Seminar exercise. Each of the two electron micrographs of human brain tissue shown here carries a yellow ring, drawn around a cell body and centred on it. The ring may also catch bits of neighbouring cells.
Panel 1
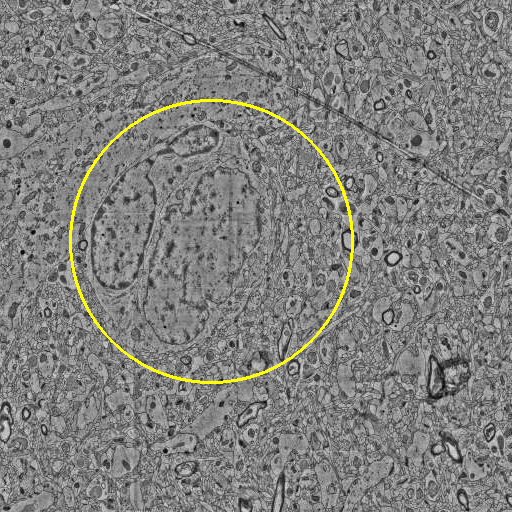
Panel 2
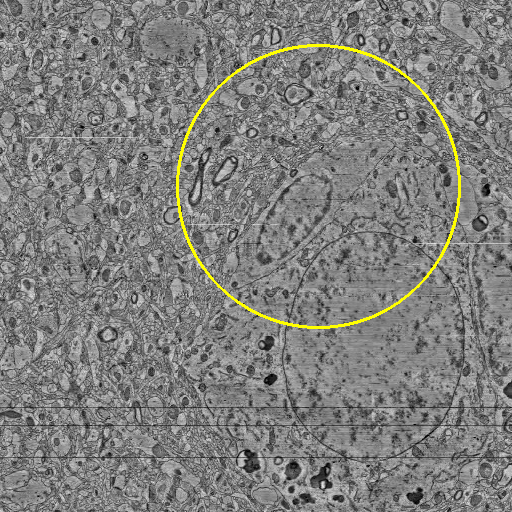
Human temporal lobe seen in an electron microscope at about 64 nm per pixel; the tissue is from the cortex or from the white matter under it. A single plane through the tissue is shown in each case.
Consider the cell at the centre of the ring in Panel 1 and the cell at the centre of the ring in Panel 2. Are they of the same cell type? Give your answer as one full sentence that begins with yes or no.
No, the two cells are of two types.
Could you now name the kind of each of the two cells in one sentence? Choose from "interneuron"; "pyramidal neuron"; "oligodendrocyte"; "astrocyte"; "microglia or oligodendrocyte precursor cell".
The first ring encloses an interneuron; the second ring encloses a microglial cell or oligodendrocyte precursor cell.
